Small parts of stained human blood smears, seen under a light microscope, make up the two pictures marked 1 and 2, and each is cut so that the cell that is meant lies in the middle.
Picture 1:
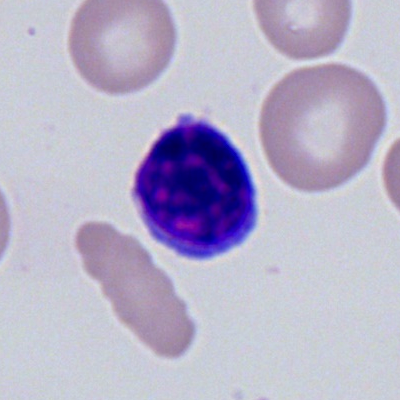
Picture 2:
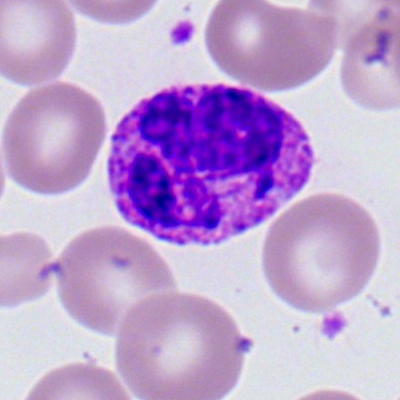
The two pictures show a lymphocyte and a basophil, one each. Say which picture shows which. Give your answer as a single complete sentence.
Picture 1 shows a lymphocyte and picture 2 shows a basophil.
